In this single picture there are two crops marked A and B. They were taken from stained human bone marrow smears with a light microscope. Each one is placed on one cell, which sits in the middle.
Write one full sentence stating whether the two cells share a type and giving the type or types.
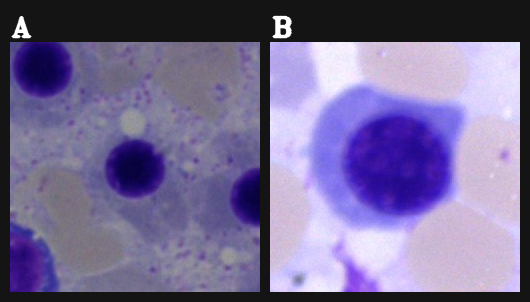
Yes, the central cells, in both crops, are normoblasts.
